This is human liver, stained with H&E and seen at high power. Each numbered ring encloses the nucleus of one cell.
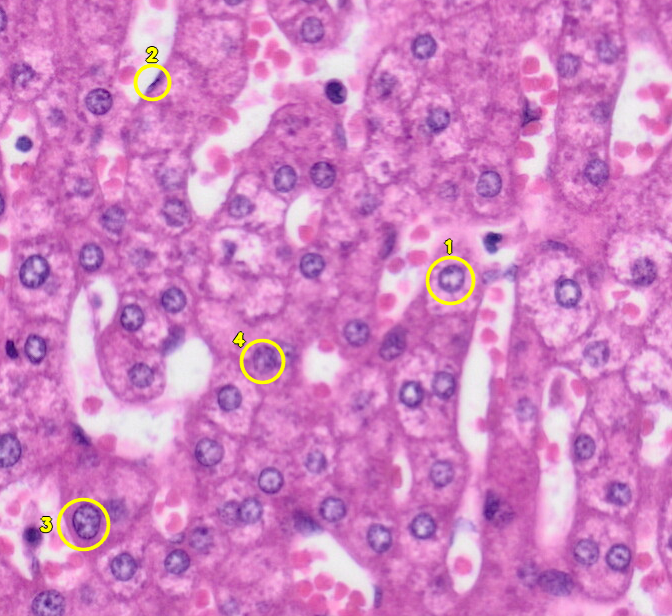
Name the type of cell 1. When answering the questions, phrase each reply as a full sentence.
The correct answer for cell 1 is a hepatocyte.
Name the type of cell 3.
Identified as a hepatocyte is the cell bearing the number 3.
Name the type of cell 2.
The correct answer for cell 2 is an endothelial cell.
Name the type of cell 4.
The cell referred to as 4 is a hepatocyte.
